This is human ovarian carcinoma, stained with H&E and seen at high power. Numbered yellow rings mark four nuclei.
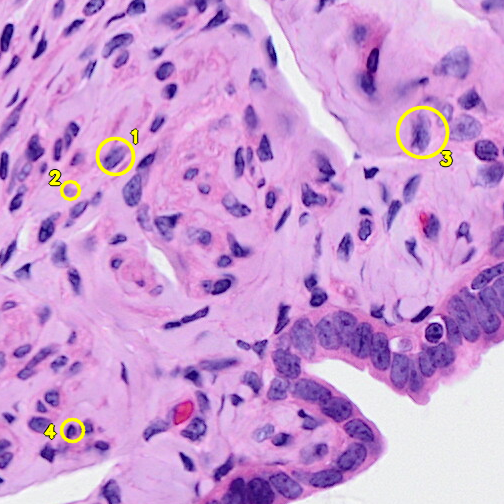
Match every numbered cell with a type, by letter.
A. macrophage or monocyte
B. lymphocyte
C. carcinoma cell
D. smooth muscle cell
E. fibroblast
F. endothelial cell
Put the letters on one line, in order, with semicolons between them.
D; D; F; D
